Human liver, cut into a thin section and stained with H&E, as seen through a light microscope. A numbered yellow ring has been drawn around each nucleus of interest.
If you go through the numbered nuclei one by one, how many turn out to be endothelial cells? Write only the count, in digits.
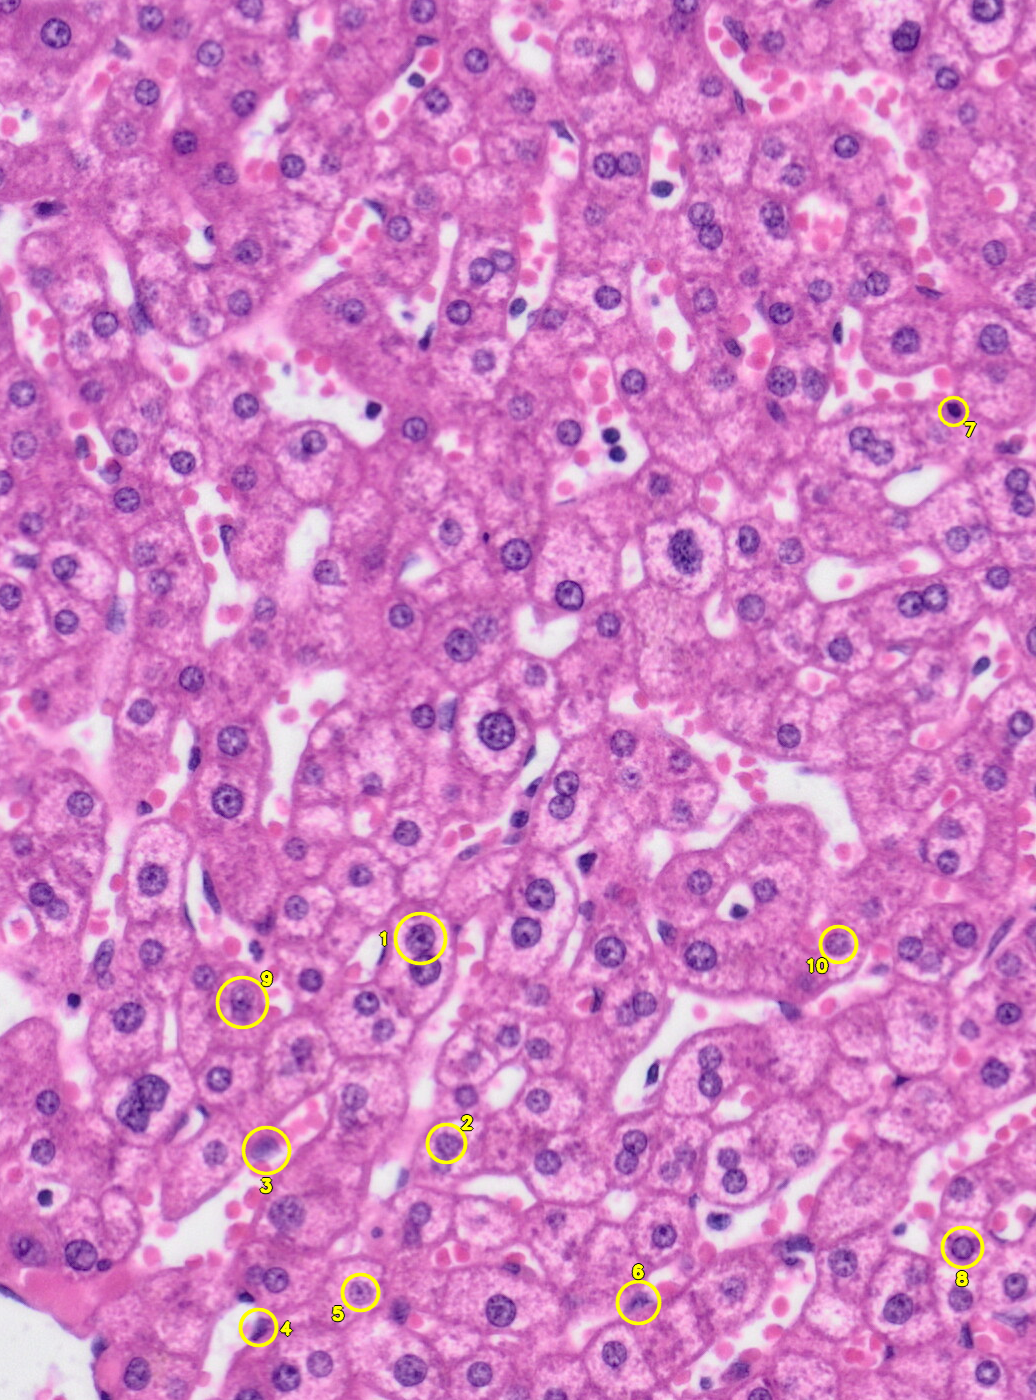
3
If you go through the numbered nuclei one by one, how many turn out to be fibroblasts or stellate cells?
1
